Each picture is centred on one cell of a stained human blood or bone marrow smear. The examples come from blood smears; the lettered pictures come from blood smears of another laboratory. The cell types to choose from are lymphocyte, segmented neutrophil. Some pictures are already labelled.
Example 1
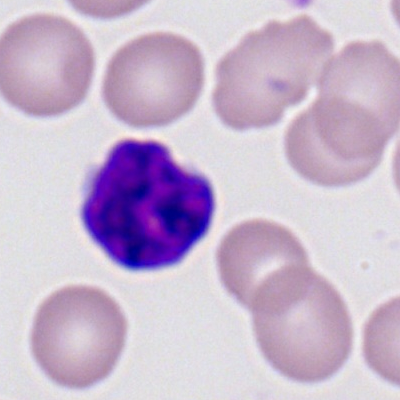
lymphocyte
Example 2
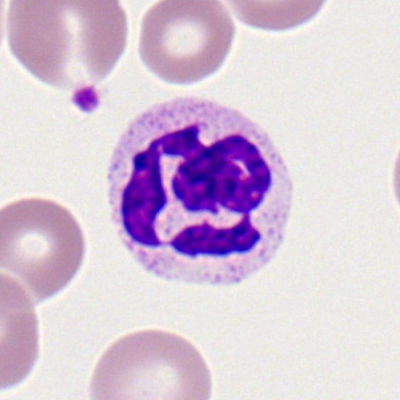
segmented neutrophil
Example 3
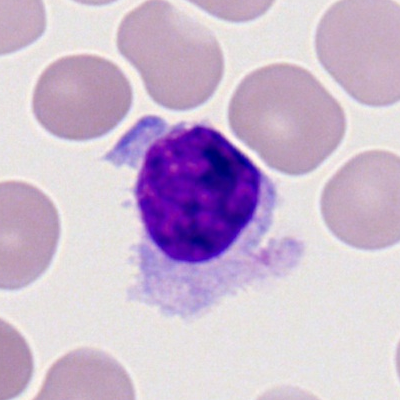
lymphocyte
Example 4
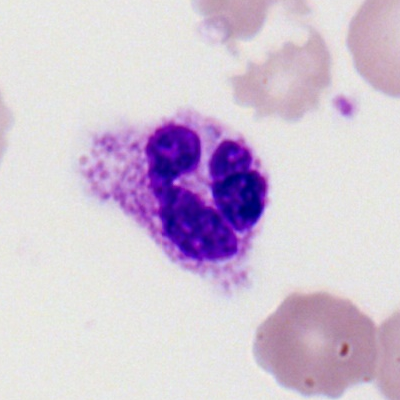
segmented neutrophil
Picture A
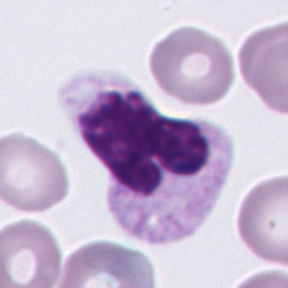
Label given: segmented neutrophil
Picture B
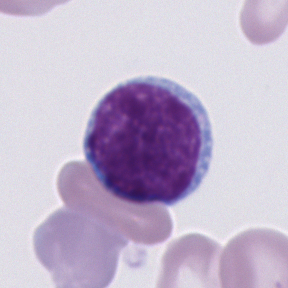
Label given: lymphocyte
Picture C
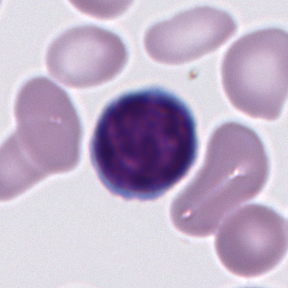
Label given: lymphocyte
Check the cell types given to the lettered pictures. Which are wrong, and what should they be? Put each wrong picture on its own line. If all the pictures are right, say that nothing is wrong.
No label is wrong.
